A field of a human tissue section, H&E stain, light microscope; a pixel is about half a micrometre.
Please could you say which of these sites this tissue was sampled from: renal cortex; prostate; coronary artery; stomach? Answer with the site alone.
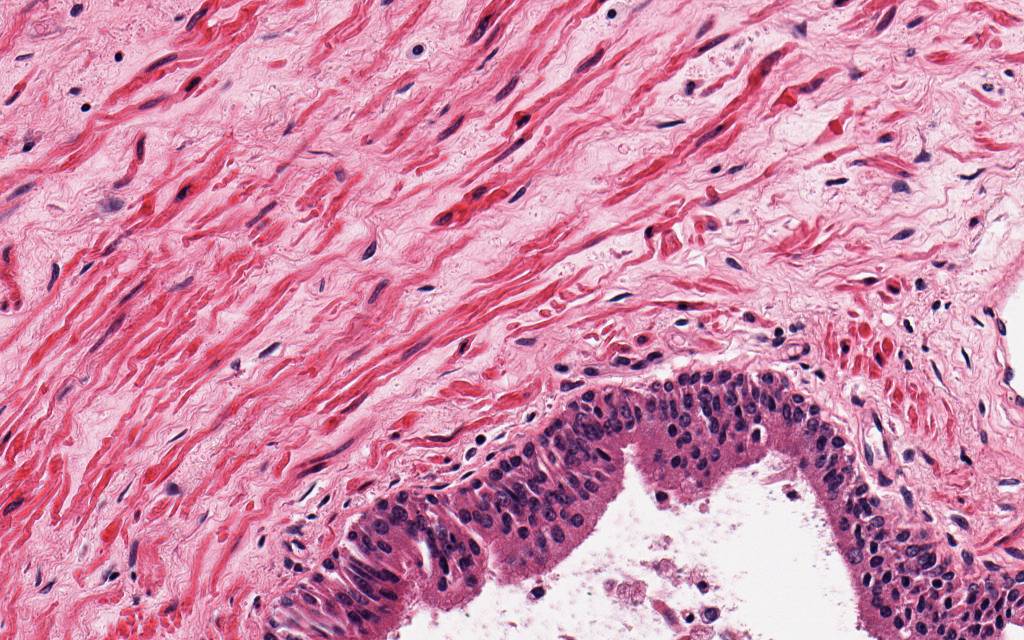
prostate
